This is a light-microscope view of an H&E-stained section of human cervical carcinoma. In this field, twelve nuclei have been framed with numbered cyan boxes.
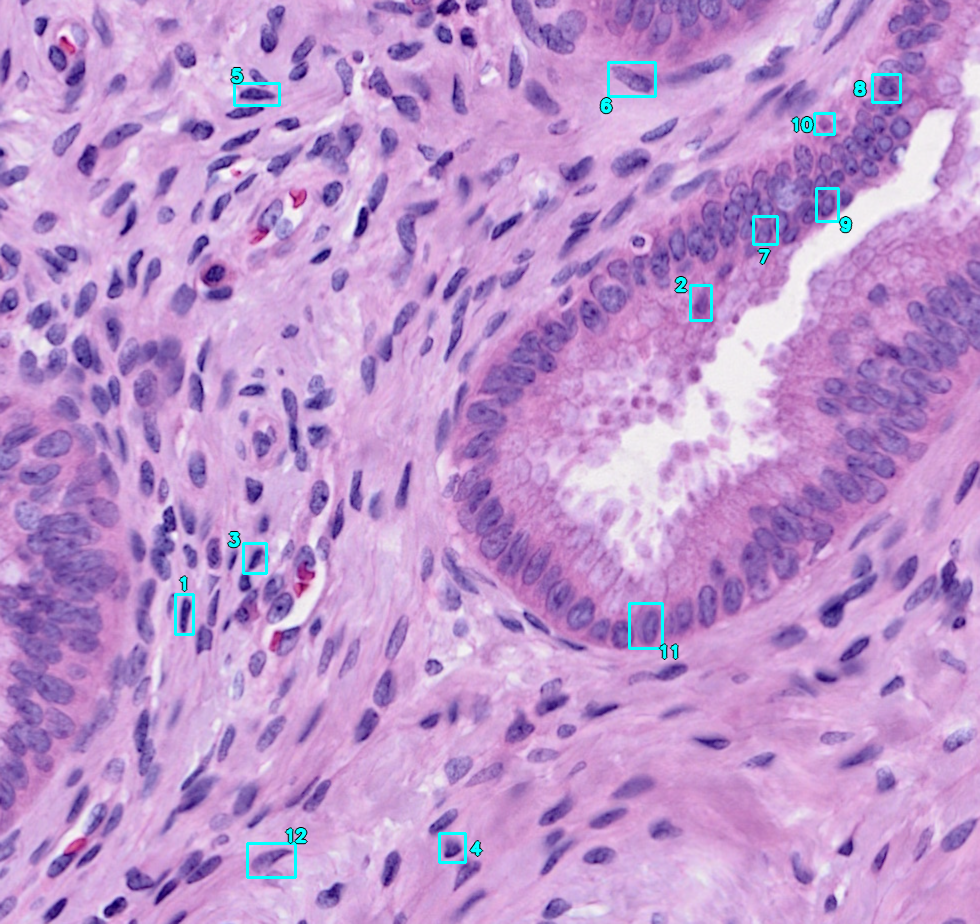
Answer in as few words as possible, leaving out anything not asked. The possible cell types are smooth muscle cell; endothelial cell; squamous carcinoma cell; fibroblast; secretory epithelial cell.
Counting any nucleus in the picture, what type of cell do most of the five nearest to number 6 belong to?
secretory epithelial cell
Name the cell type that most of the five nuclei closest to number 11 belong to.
secretory epithelial cell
